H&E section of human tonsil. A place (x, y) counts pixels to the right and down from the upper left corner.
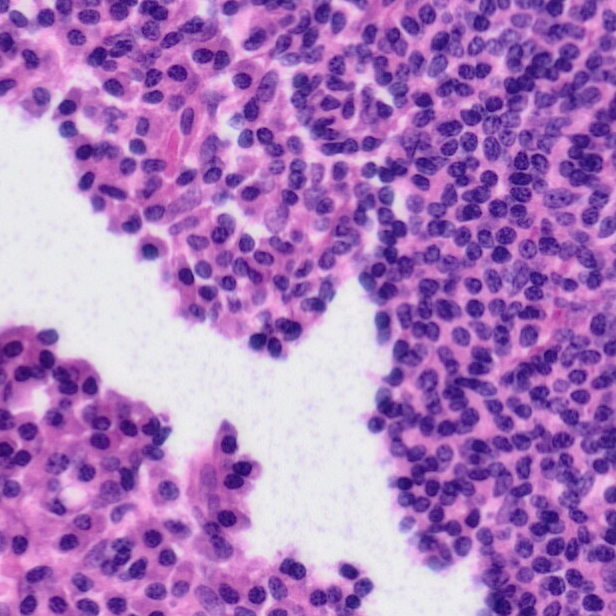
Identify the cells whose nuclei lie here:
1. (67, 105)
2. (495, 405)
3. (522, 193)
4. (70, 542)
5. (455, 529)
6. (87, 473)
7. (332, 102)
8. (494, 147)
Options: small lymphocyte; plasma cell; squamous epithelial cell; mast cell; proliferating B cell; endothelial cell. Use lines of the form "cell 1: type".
cell 1: plasma cell
cell 2: small lymphocyte
cell 3: small lymphocyte
cell 4: plasma cell
cell 5: small lymphocyte
cell 6: plasma cell
cell 7: small lymphocyte
cell 8: small lymphocyte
